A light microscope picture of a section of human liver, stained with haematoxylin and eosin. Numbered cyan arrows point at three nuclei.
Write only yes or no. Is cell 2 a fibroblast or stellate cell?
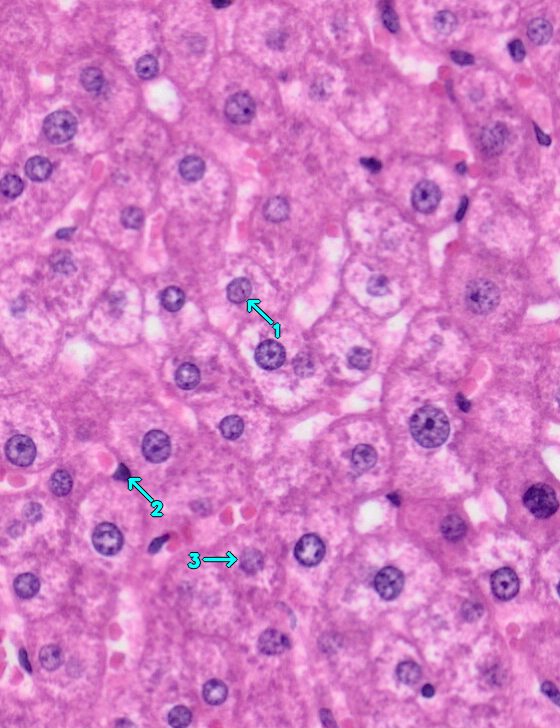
yes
